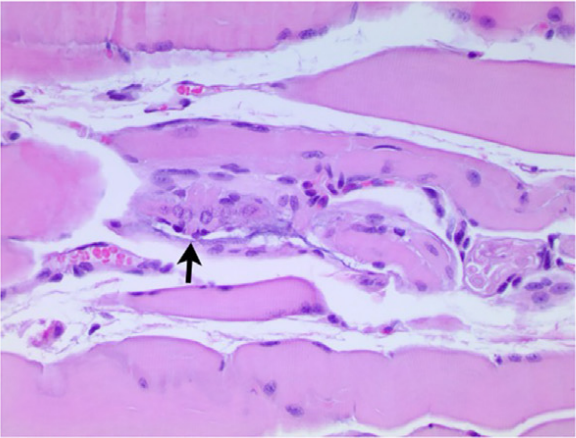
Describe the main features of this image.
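Longitudinally cut skeletal muscle fibers stain pink, with dark purple nuclei at their edges and small vessels holding red blood cells between them. In the centre one fiber segment has pale, fragmented, vacuolated sarcoplasm and is surrounded and infiltrated by a cluster of nuclei, a focus of fiber degeneration.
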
